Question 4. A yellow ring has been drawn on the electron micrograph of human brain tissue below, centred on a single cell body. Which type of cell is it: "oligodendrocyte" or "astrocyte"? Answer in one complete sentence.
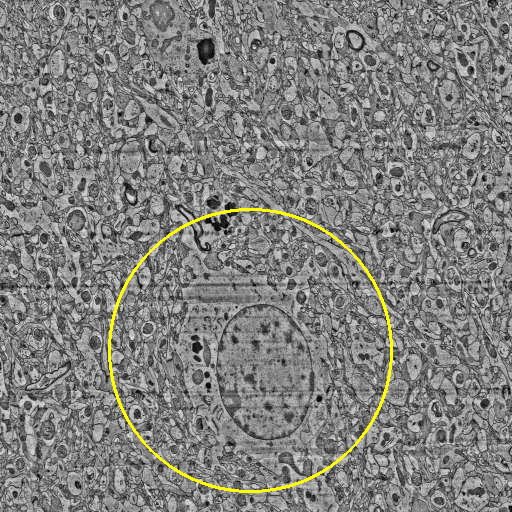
This cell body belongs to an astrocyte.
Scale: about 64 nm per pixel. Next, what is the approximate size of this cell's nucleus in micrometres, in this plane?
The nucleus of the ringed cell is approximately 9 by 6 micrometres in this plane.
